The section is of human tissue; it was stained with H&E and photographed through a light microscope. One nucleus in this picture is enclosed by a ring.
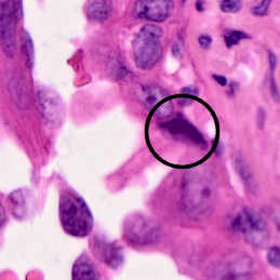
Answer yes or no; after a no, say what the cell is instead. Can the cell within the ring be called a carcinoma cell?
Yes.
